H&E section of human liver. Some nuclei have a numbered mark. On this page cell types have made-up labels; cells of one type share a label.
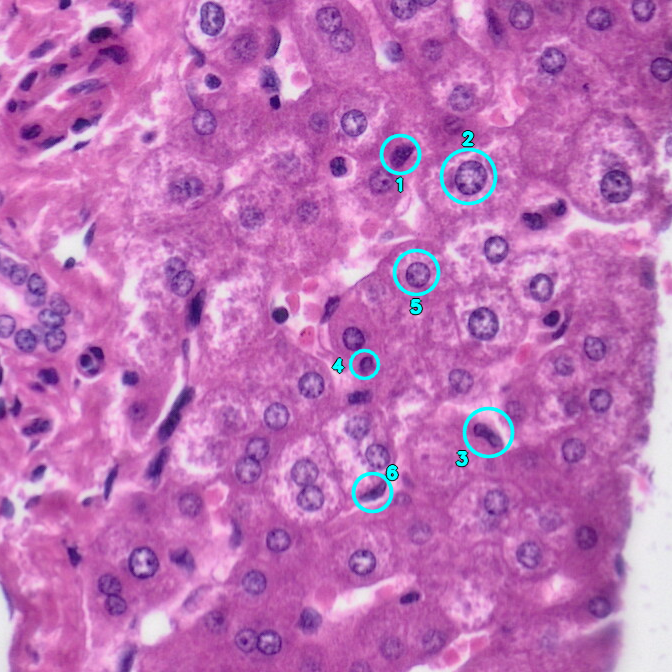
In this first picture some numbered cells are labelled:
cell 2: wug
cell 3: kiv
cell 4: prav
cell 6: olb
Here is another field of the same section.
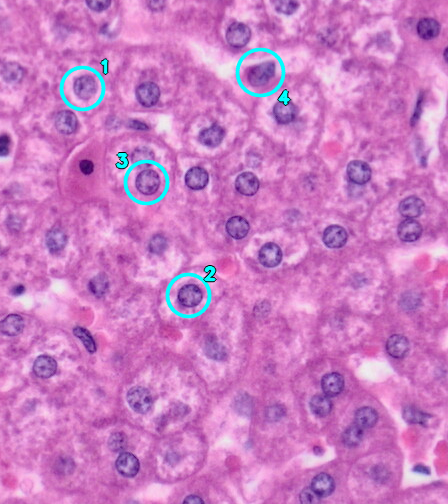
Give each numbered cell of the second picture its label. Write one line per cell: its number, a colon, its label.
1: wug
2: wug
3: wug
4: kiv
